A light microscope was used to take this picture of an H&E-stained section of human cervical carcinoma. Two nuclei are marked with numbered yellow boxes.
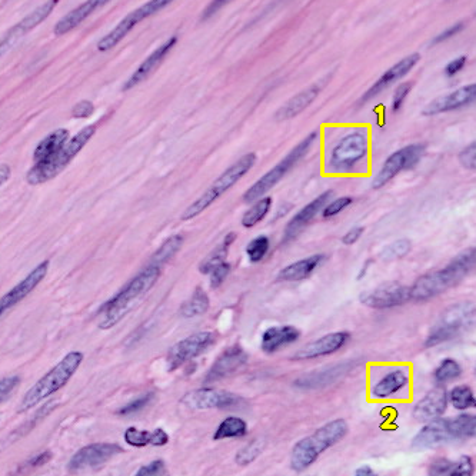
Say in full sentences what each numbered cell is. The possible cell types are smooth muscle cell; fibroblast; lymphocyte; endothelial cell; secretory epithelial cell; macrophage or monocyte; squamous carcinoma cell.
Cell 1 is a smooth muscle cell. Cell 2 is a lymphocyte.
